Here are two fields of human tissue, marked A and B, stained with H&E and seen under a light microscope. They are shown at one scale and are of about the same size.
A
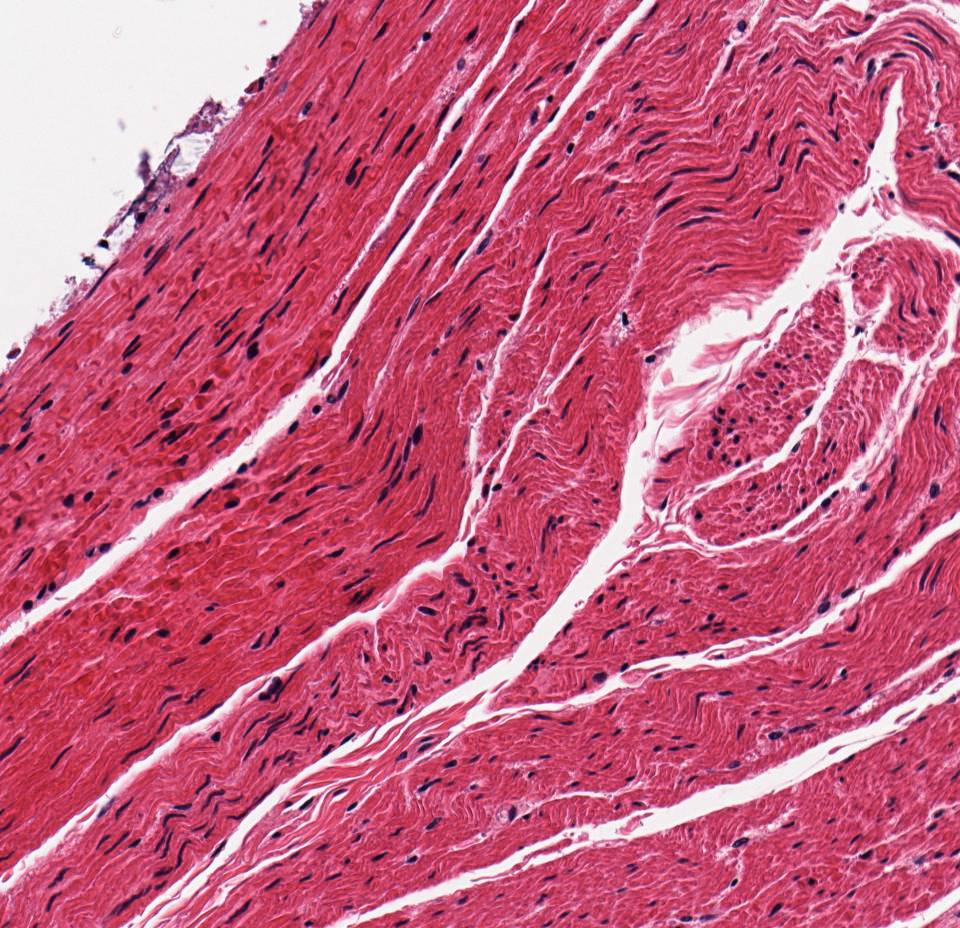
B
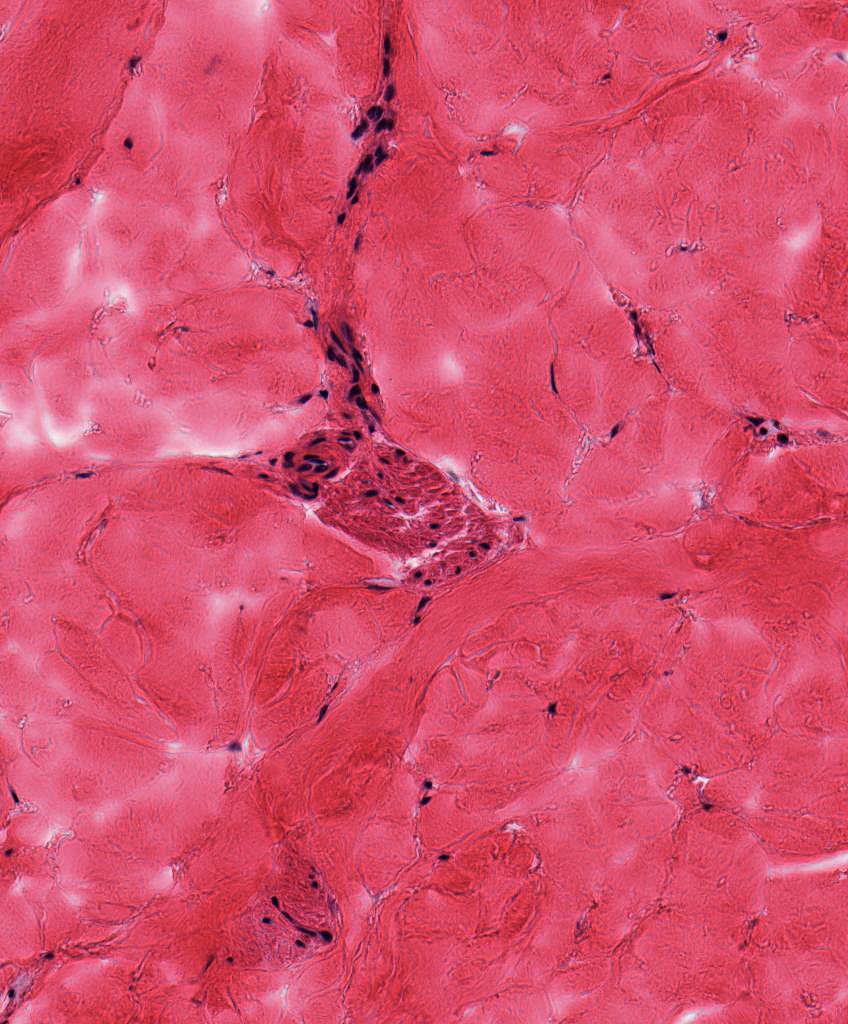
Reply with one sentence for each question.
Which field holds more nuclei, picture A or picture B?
It is picture A that has more nuclei in it.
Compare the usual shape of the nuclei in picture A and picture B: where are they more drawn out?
It is picture A whose nuclei are the more elongated.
